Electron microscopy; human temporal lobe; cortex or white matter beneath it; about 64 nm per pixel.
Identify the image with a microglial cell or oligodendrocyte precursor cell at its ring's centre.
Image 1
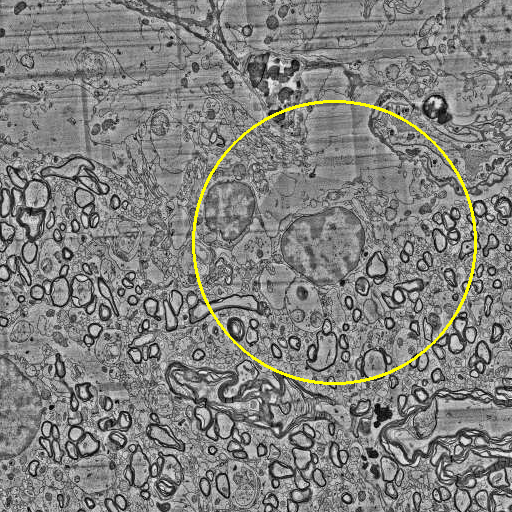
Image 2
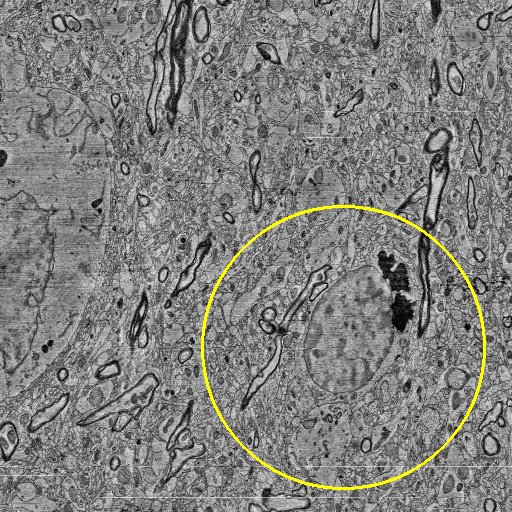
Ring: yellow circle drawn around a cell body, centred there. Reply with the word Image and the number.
Image 1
